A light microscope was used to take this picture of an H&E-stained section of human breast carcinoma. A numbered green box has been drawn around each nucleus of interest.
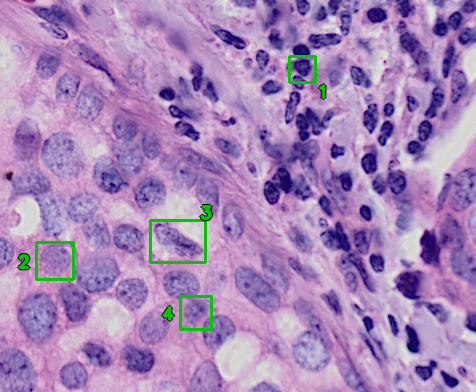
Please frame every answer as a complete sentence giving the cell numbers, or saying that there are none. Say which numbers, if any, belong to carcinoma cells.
The cells that the numbers 2, 3 and 4 belong to are carcinoma cells.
